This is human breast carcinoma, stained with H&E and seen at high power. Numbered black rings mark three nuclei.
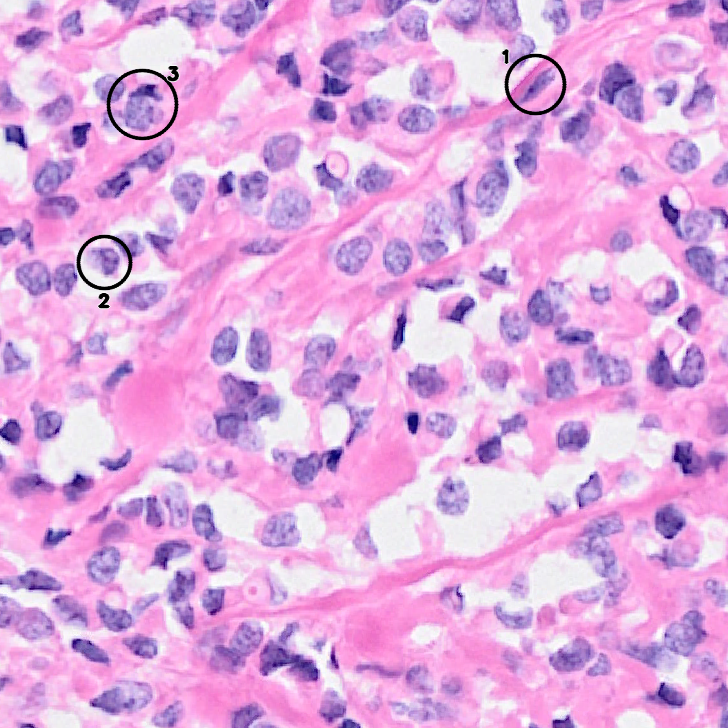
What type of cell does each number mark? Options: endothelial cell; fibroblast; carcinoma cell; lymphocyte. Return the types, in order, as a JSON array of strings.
["endothelial cell", "carcinoma cell", "carcinoma cell"]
